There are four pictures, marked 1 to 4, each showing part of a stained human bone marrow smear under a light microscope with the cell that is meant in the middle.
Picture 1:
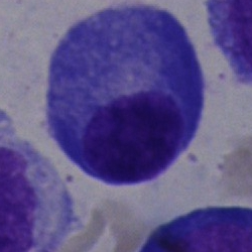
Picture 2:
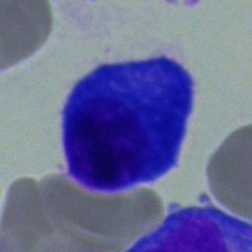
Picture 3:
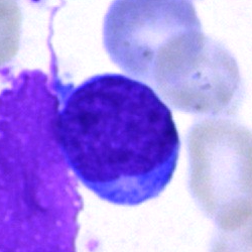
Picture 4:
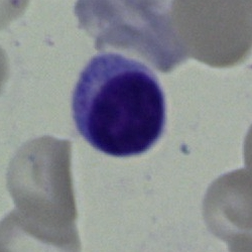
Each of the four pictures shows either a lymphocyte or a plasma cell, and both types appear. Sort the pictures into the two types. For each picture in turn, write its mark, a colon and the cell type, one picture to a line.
1: plasma cell
2: plasma cell
3: lymphocyte
4: lymphocyte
